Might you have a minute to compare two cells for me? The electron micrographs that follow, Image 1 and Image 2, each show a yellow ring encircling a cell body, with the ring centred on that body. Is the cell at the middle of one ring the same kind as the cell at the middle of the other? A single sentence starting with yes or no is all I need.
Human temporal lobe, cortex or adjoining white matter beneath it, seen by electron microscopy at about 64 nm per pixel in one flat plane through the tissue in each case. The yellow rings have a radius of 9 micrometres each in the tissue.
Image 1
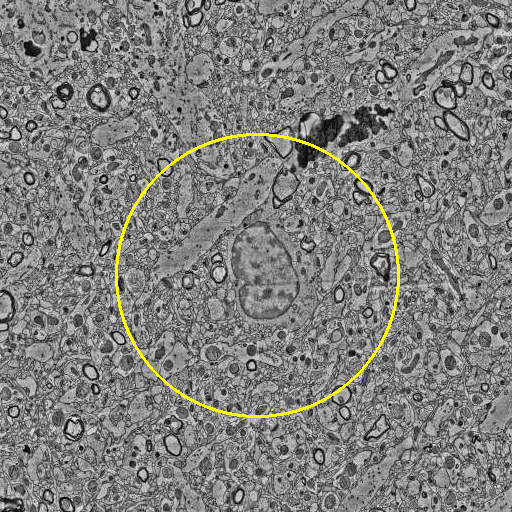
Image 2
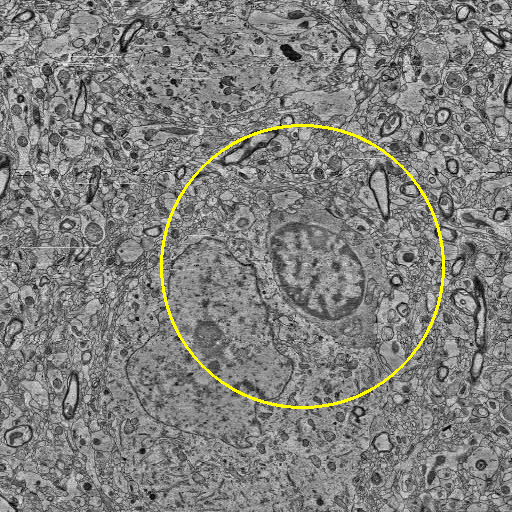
Yes, the cells in the middle of the two rings are of one shared kind.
